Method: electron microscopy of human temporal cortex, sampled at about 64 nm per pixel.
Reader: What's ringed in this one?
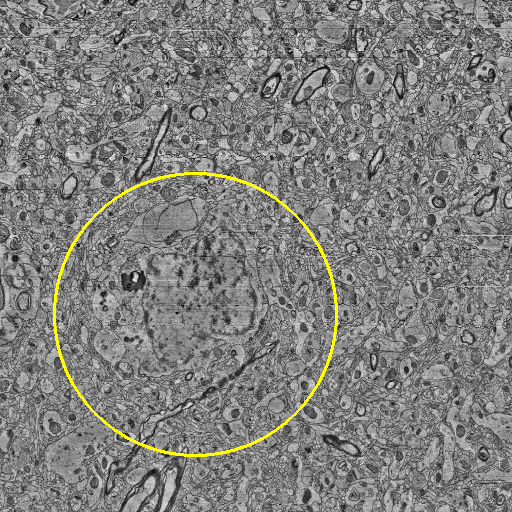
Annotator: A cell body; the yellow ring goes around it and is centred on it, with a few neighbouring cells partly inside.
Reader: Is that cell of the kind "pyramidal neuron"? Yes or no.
no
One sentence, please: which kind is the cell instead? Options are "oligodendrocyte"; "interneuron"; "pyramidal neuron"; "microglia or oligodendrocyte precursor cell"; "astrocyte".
The cell enclosed by the ring is an interneuron.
